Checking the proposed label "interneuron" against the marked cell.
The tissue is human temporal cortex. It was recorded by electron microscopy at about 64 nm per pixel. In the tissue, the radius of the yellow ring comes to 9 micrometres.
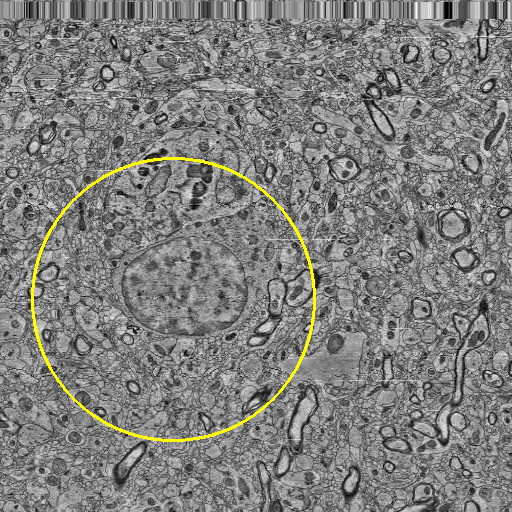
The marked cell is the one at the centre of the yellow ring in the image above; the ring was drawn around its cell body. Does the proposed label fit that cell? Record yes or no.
no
